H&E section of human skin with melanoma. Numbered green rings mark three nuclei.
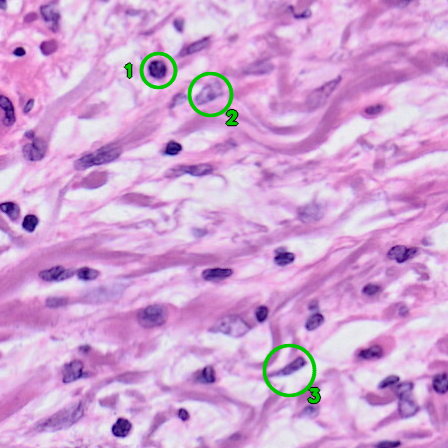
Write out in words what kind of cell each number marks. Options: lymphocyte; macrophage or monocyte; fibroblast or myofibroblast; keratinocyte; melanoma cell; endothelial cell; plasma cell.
Cell 1 is a plasma cell. Cells 2 and 3 are fibroblasts or myofibroblasts.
